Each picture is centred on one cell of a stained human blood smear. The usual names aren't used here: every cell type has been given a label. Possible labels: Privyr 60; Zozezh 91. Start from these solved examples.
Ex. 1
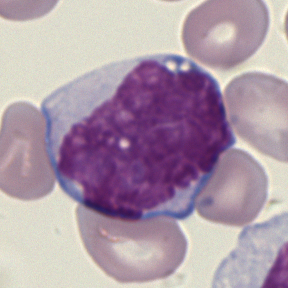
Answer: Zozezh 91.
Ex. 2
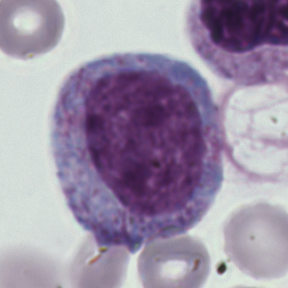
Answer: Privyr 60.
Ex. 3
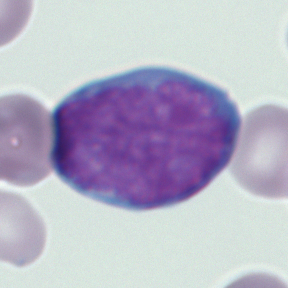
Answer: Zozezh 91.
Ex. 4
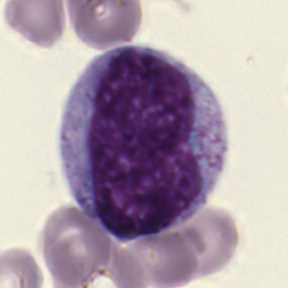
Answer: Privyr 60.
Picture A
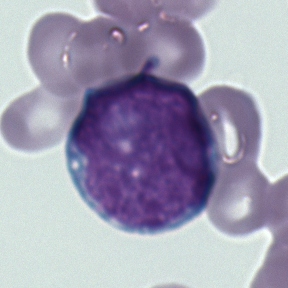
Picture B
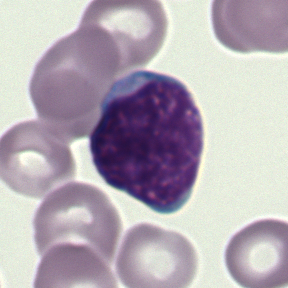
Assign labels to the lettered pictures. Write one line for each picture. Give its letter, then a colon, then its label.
A: Zozezh 91.
B: Zozezh 91.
